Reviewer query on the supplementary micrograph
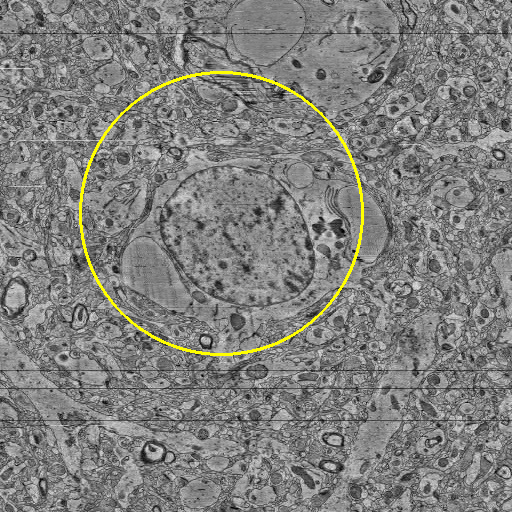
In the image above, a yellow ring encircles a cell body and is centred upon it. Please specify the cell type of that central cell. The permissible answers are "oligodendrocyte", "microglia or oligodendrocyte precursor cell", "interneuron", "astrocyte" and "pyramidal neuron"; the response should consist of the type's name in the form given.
astrocyte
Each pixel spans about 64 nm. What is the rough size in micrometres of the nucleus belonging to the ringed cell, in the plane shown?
In this plane, approximately 11 by 9 micrometers.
